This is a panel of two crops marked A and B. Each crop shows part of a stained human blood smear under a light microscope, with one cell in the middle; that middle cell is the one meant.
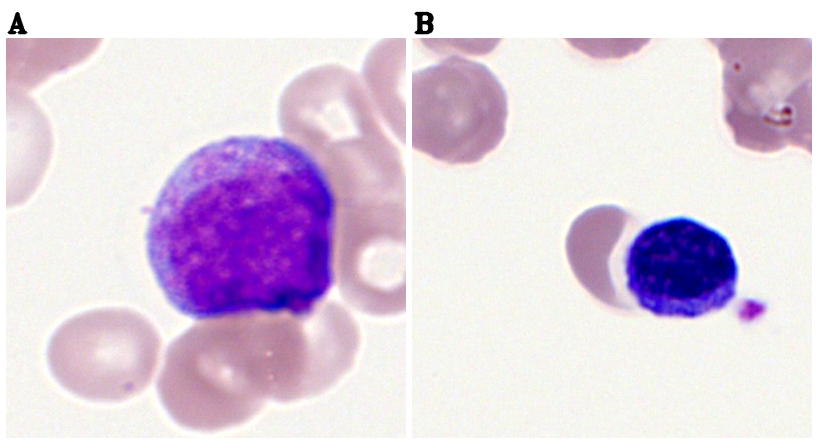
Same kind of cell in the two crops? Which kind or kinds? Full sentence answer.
No, crop A displays a myeloblast and crop B displays a lymphocyte.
